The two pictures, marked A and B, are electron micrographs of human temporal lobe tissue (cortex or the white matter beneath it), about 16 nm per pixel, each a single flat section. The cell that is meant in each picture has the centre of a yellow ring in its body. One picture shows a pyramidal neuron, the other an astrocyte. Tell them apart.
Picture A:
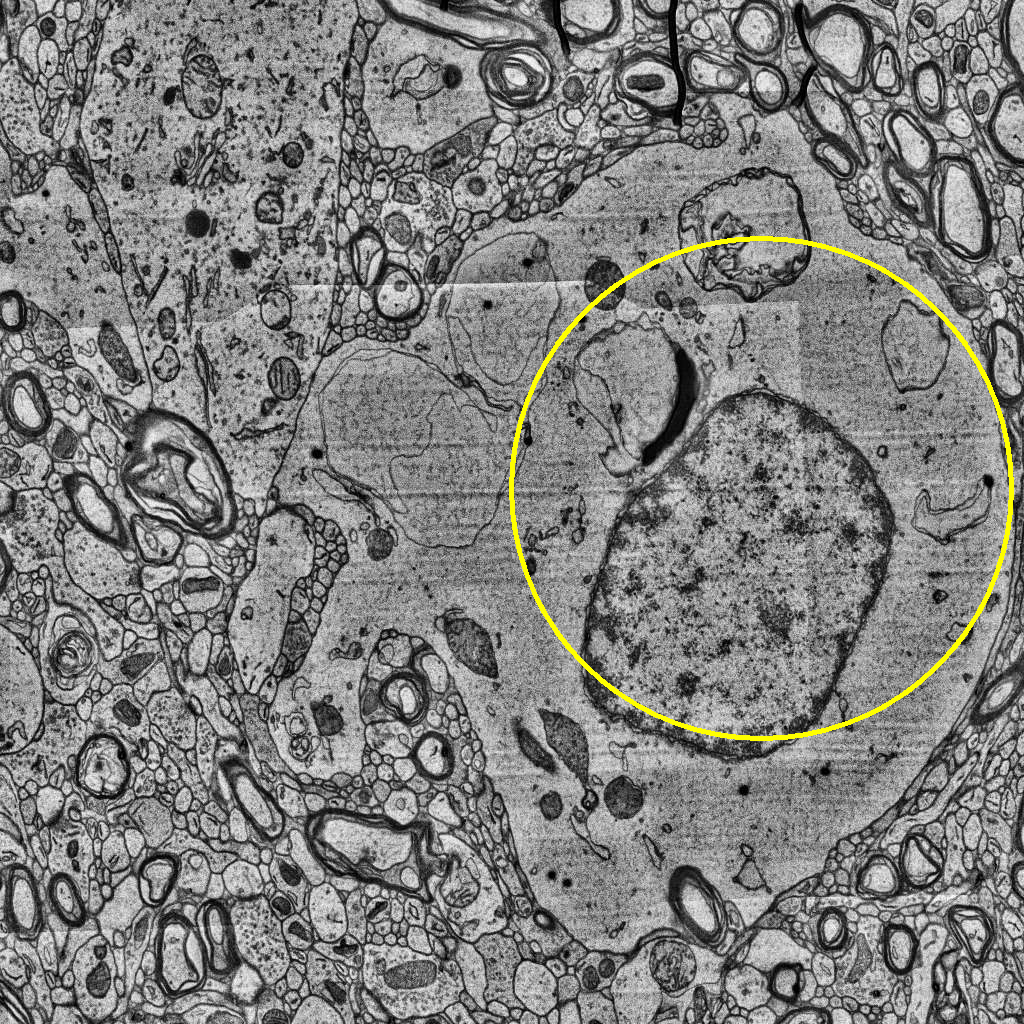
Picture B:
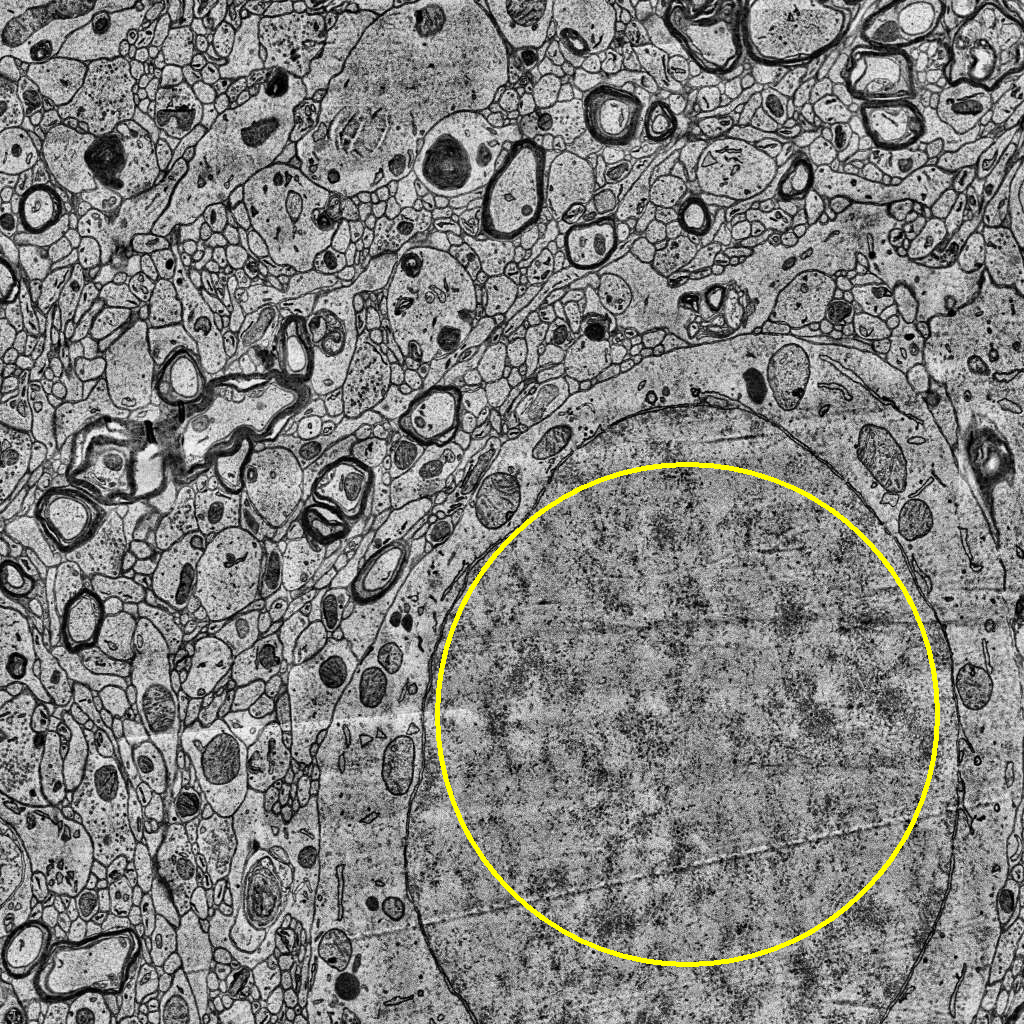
It is picture A that shows an astrocyte, and picture B that shows a pyramidal neuron.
